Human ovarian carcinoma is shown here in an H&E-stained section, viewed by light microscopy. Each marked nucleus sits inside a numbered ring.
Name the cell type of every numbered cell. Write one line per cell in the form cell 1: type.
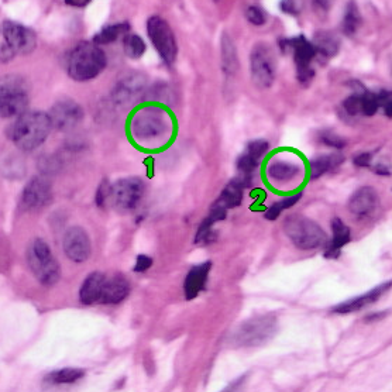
cell 1: carcinoma cell
cell 2: macrophage or monocyte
